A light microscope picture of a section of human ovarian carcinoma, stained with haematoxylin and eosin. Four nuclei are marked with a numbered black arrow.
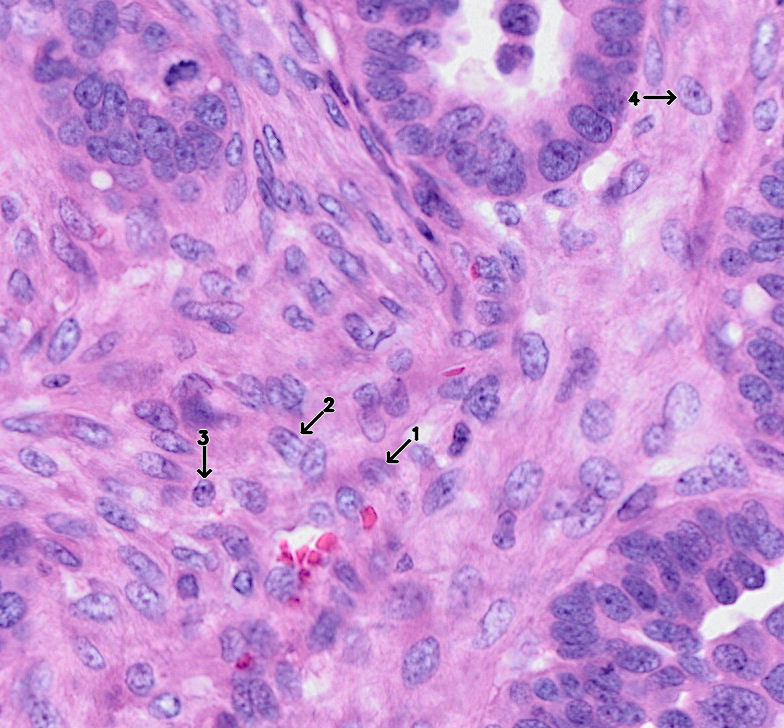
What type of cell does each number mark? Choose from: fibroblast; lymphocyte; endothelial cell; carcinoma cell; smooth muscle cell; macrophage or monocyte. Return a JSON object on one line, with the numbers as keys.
{"1": "fibroblast", "2": "fibroblast", "3": "macrophage or monocyte", "4": "fibroblast"}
